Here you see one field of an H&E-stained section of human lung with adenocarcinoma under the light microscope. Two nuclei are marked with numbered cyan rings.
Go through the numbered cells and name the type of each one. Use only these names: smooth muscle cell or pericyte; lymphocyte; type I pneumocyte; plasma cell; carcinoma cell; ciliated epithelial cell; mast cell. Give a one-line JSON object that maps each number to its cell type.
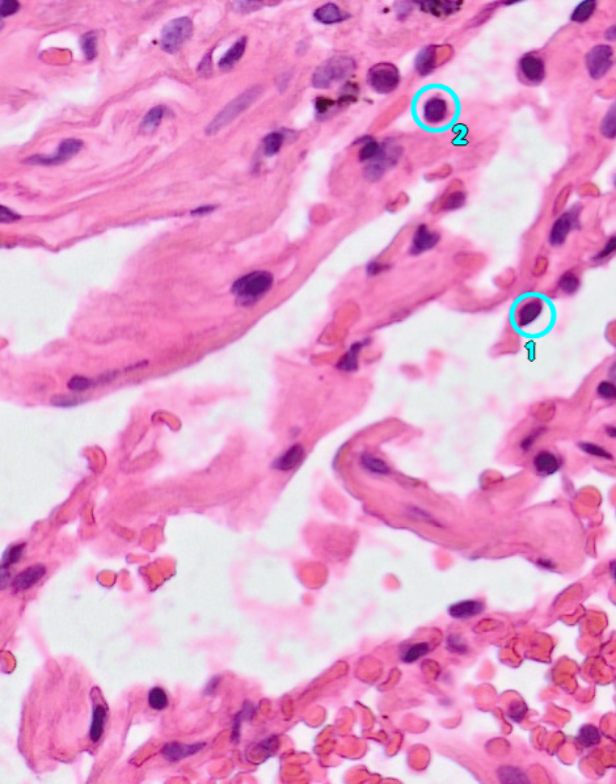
{"1": "type I pneumocyte", "2": "lymphocyte"}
